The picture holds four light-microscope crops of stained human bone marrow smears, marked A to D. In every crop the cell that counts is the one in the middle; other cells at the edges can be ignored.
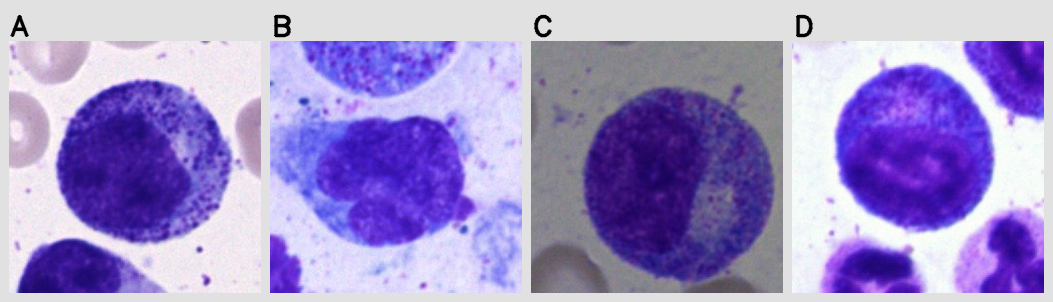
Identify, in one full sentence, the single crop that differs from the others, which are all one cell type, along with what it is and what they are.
Crop B is the outlier, with a monocyte against promyelocytes in the rest.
